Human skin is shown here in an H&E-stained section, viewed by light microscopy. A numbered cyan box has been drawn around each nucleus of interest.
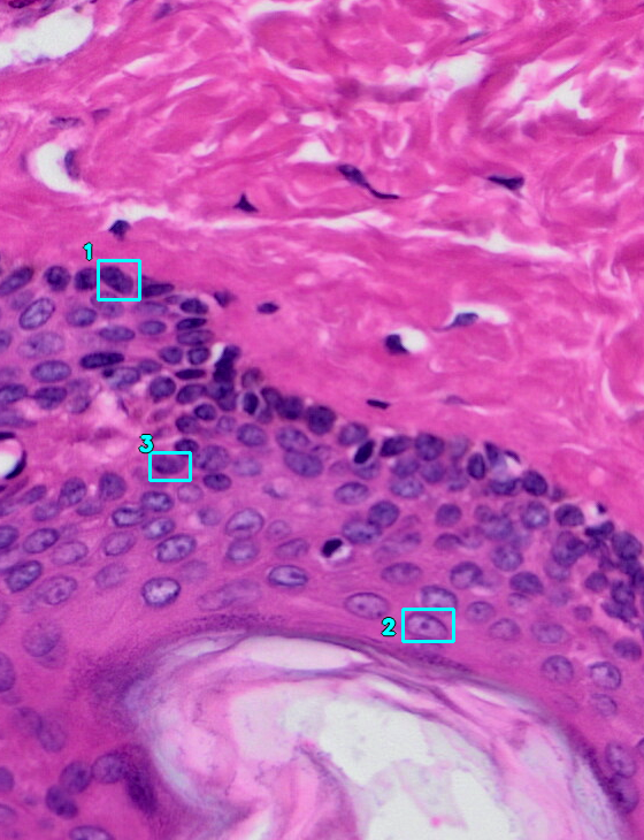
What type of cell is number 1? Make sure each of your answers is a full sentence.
The cell indicated by marker 1 is a basal keratinocyte in this section.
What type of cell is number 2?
Among the marked nuclei, number 2 belongs to a suprabasal keratinocyte.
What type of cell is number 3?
The cell pointed out by number 3 is a basal keratinocyte.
